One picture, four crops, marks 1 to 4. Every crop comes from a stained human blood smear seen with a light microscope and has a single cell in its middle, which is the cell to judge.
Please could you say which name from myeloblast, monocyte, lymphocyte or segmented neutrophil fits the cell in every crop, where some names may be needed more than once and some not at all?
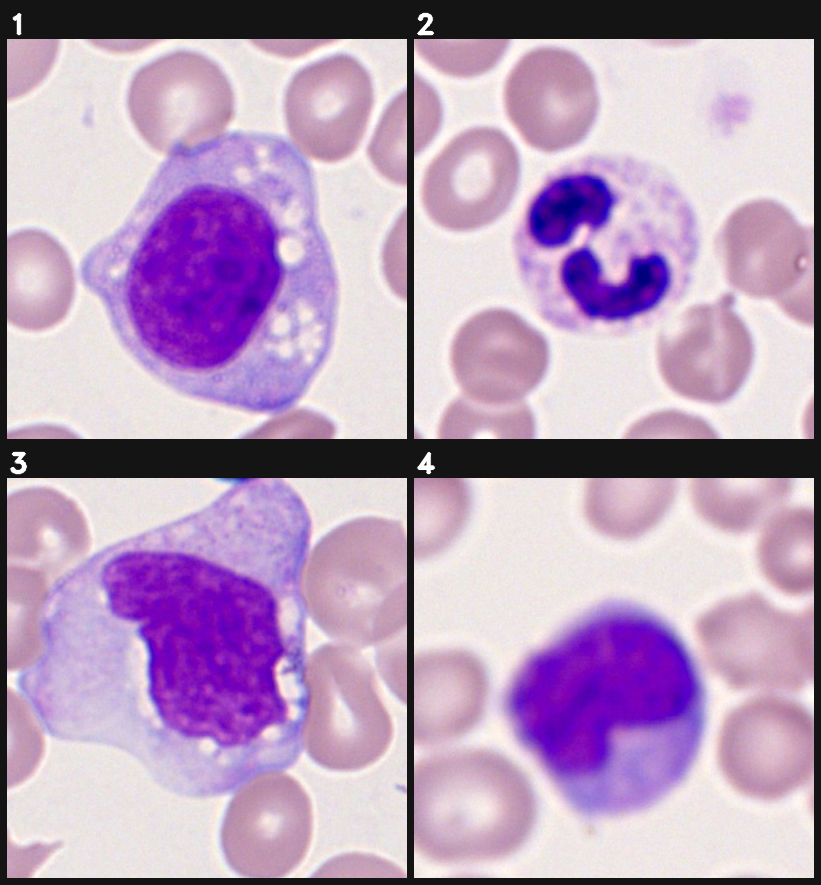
1: monocyte
2: segmented neutrophil
3: monocyte
4: monocyte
